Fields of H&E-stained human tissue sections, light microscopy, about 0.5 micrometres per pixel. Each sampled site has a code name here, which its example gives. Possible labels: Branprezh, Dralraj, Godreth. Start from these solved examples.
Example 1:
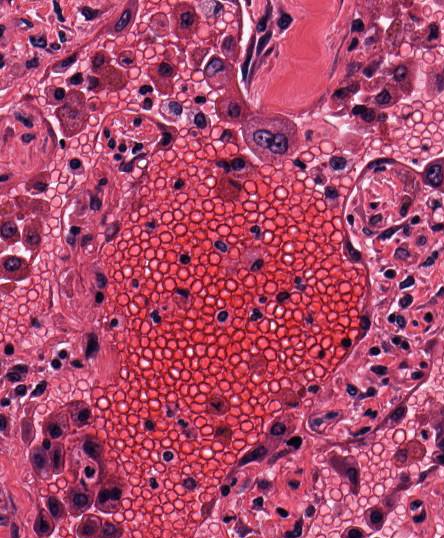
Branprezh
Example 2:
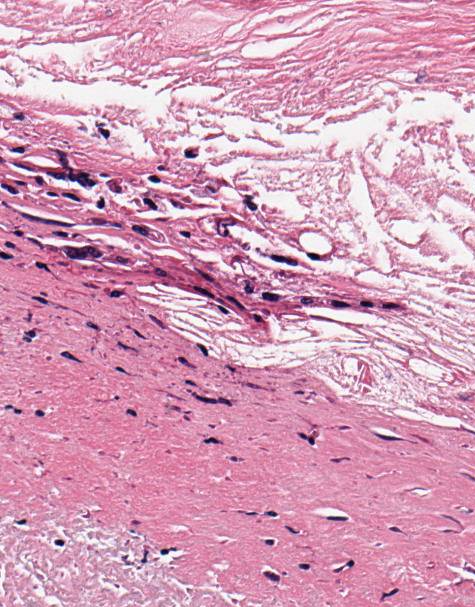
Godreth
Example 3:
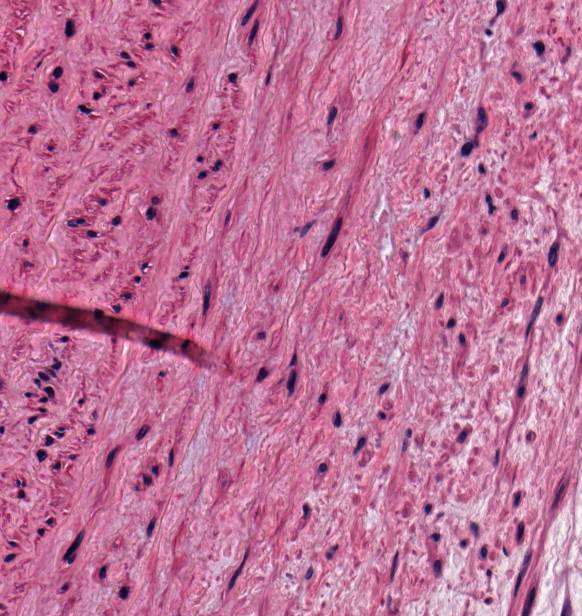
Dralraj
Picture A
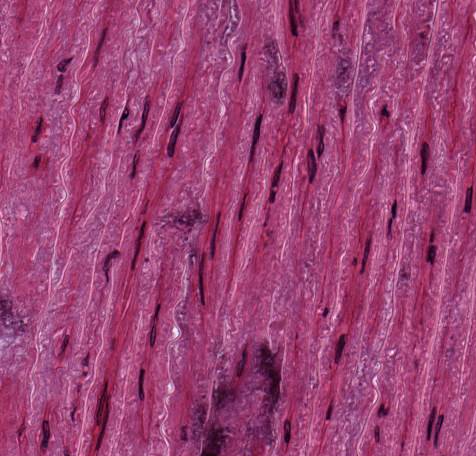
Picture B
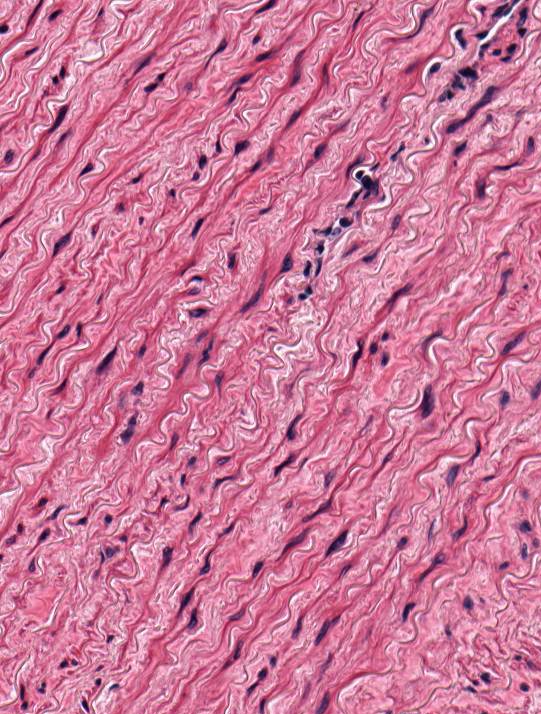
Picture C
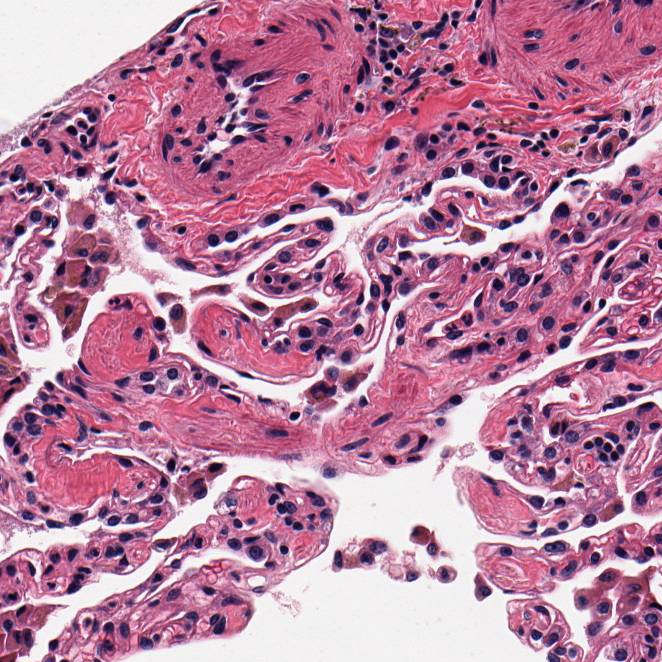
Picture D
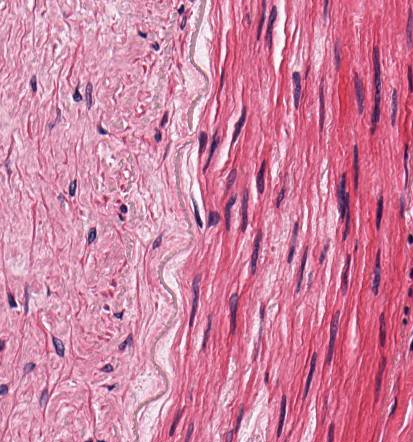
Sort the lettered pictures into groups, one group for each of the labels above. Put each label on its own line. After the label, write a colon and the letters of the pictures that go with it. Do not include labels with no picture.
Branprezh: C
Dralraj: A, B
Godreth: D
